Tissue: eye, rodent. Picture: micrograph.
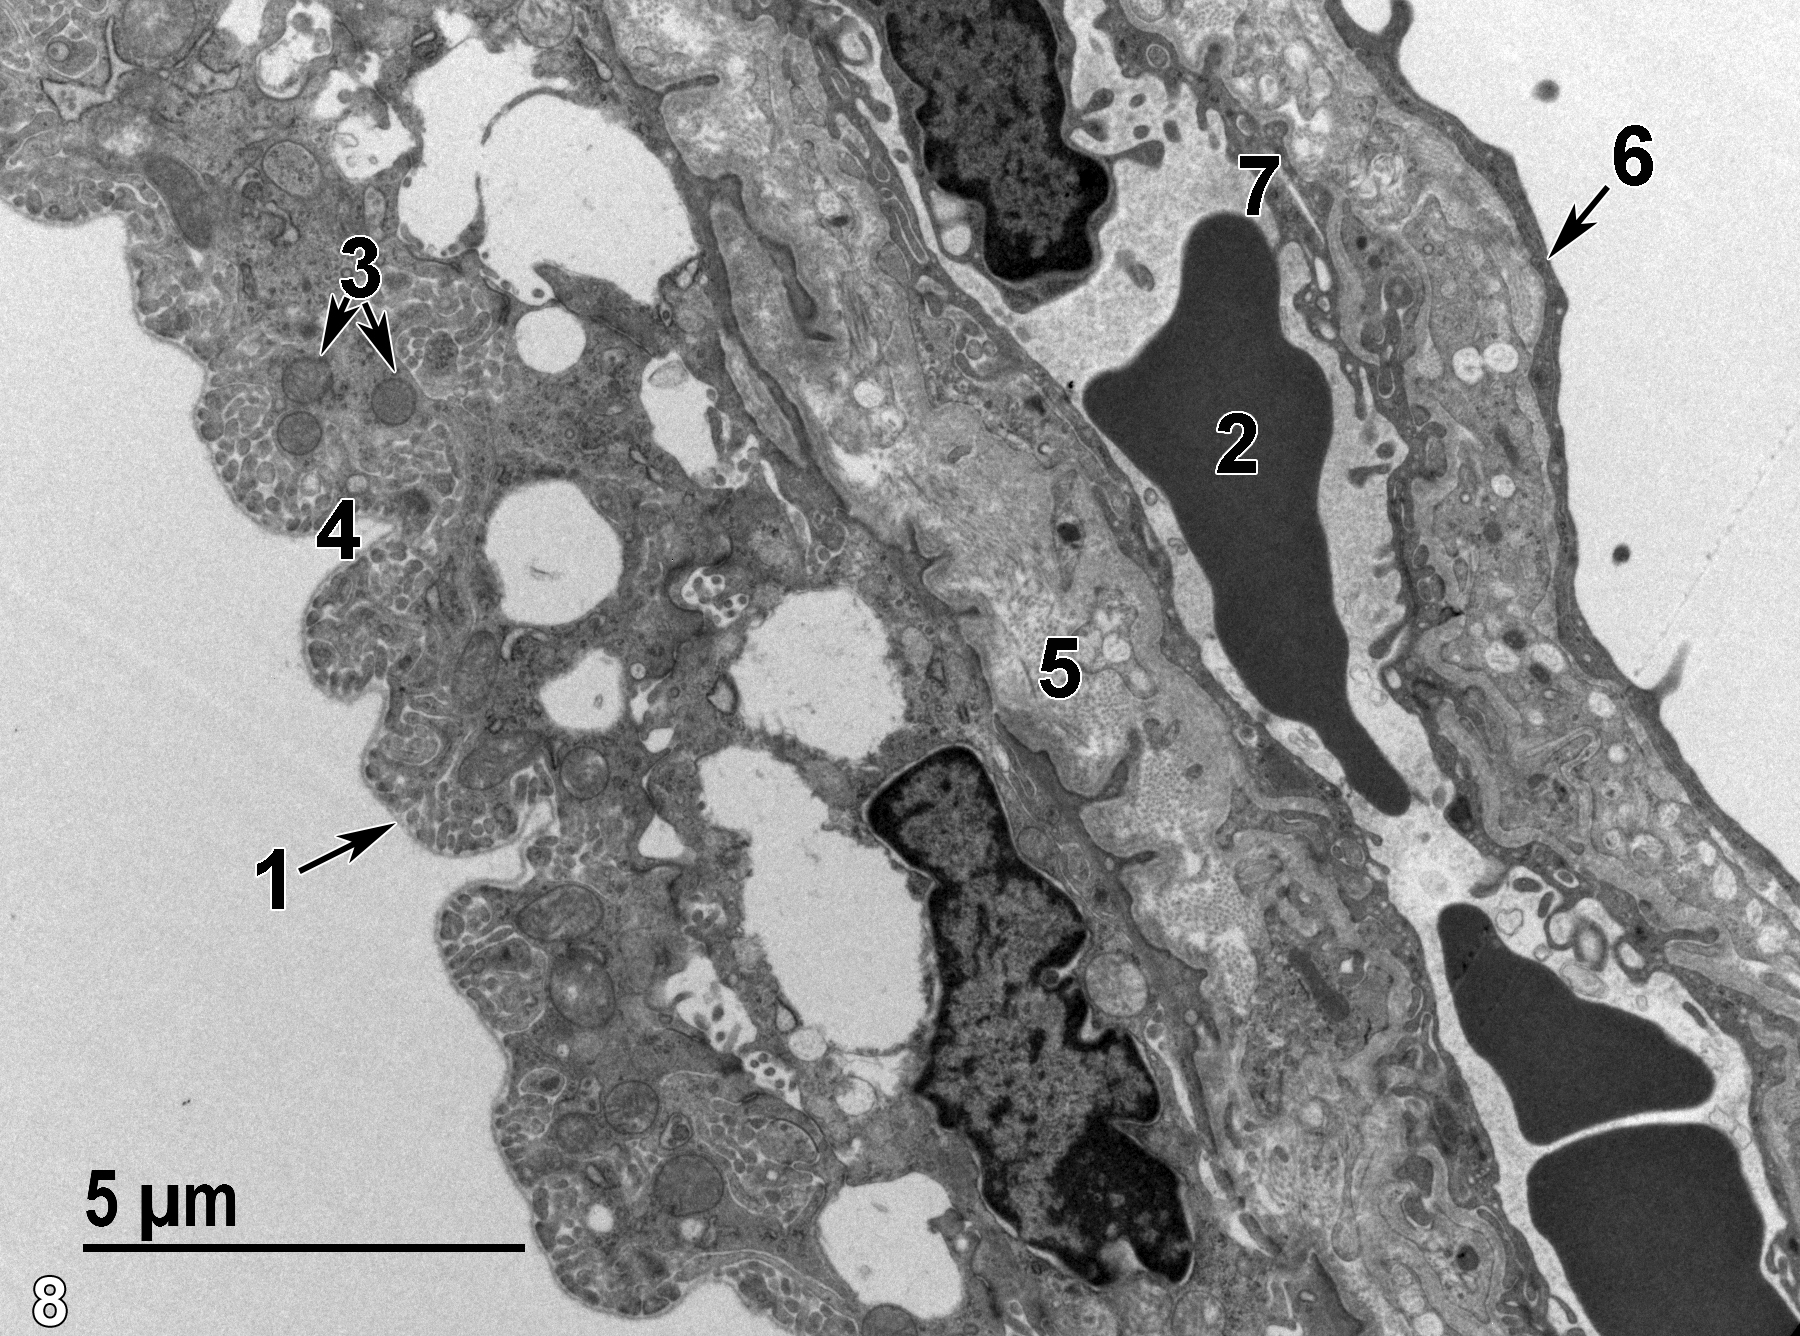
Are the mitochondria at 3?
Yes, 3 marks the mitochondria.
